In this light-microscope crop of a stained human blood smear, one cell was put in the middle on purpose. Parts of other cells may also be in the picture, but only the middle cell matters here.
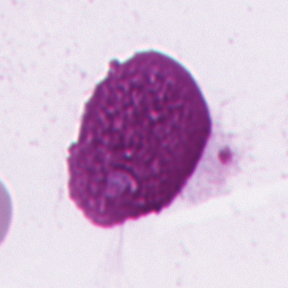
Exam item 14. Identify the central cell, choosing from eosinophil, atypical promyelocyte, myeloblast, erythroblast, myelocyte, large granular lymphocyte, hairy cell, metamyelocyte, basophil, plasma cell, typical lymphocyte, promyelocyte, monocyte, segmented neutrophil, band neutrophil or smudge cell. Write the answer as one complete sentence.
The cell marked by its central position in the crop is a smudge cell.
